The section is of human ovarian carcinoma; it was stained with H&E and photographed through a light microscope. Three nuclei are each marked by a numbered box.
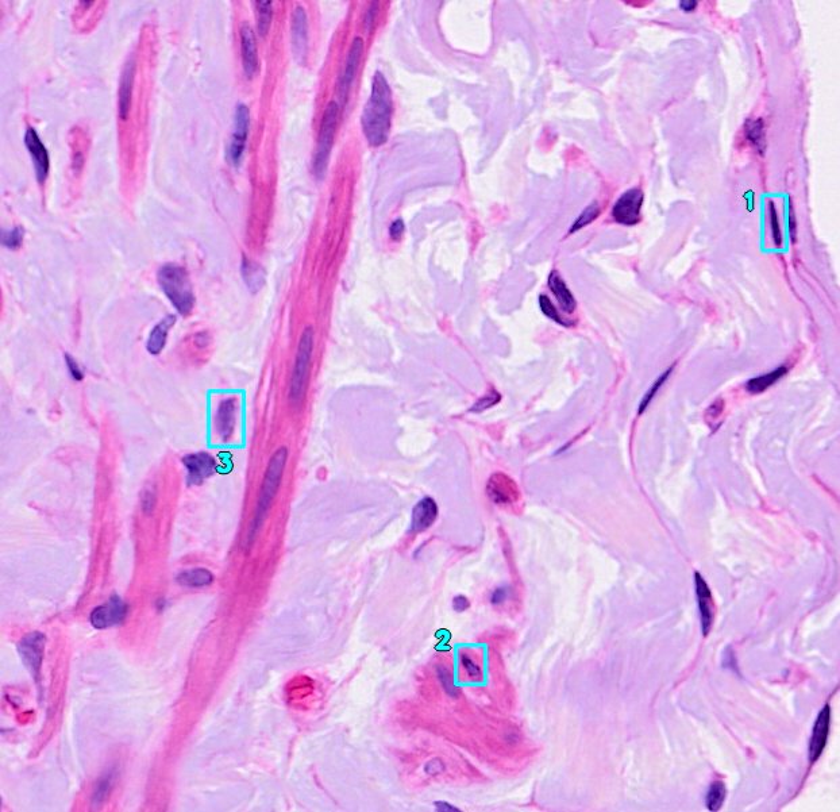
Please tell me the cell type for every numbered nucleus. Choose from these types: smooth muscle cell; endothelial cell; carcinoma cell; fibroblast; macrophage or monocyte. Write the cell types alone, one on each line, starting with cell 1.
fibroblast
smooth muscle cell
fibroblast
